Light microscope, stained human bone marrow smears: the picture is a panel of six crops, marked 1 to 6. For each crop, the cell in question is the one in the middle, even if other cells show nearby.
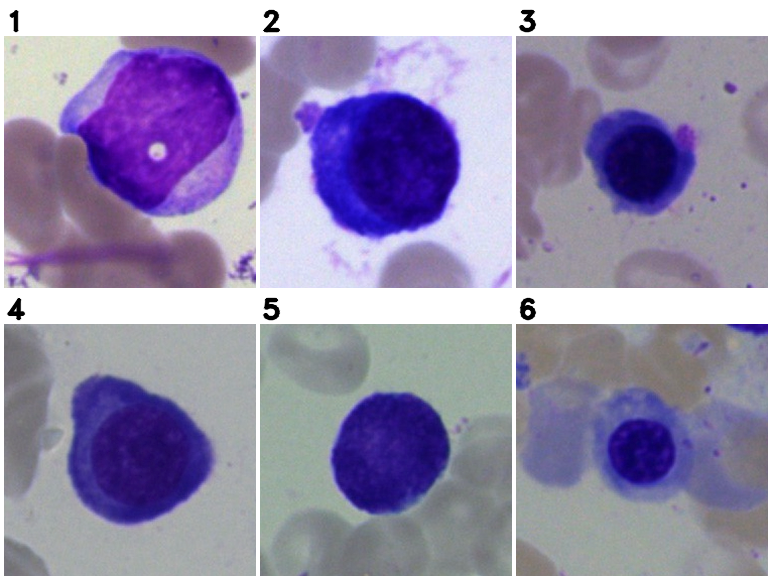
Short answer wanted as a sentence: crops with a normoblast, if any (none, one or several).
Crops 3 and 6 show normoblasts as their middle cells.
